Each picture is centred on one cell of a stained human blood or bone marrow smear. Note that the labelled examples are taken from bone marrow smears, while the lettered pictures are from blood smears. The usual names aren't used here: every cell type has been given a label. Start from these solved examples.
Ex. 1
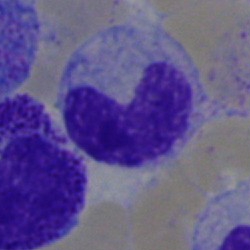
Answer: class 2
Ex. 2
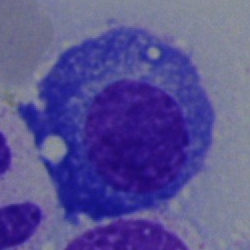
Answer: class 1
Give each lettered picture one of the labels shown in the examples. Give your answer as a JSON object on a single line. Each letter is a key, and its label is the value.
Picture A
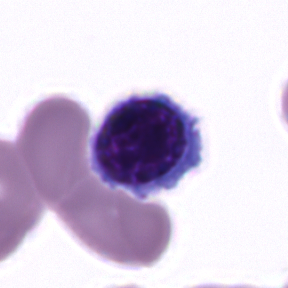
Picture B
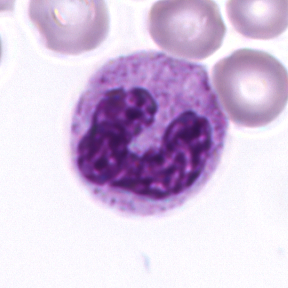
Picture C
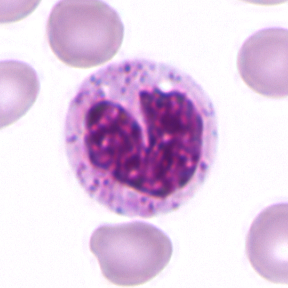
{"A": "class 1", "B": "class 2", "C": "class 2"}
